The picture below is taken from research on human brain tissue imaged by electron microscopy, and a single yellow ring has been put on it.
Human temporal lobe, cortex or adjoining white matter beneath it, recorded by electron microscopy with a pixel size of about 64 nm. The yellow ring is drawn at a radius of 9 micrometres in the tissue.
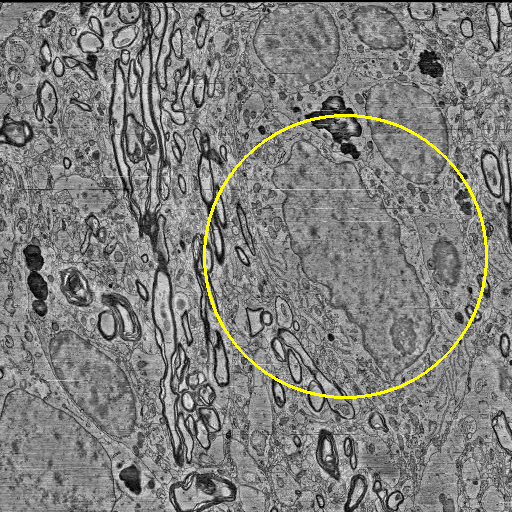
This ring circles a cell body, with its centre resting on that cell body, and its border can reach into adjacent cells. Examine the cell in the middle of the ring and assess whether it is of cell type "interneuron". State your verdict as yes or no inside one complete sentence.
Yes, in the picture, the cell lying at the centre of the ring is of this type.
